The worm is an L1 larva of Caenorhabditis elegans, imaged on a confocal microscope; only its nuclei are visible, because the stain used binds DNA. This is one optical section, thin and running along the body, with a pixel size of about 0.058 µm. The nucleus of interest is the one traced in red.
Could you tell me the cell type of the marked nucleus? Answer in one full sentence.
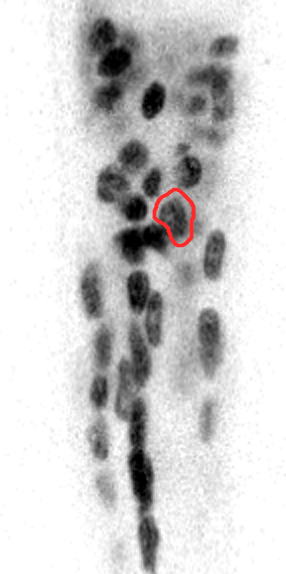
It is the nucleus of a pharyngeal marginal cell.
